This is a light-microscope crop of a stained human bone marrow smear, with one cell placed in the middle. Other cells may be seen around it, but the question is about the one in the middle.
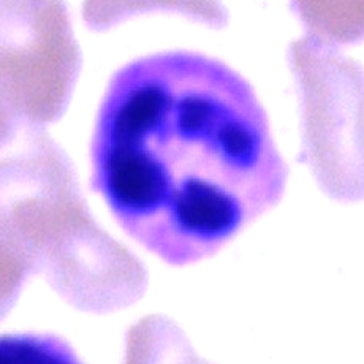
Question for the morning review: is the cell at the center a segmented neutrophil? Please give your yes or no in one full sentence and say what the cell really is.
Yes, the cell at the middle is a segmented neutrophil.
